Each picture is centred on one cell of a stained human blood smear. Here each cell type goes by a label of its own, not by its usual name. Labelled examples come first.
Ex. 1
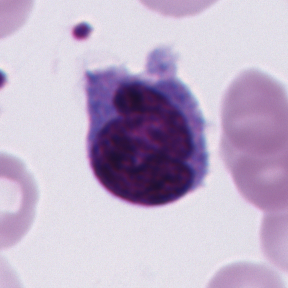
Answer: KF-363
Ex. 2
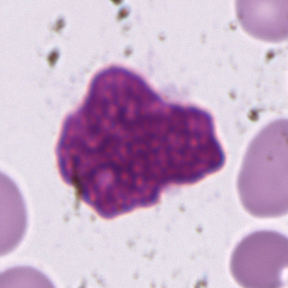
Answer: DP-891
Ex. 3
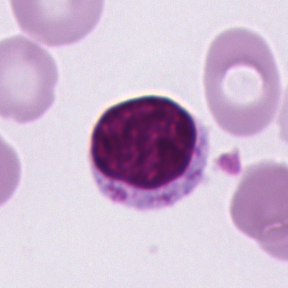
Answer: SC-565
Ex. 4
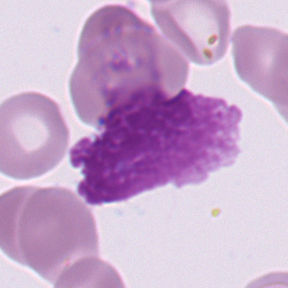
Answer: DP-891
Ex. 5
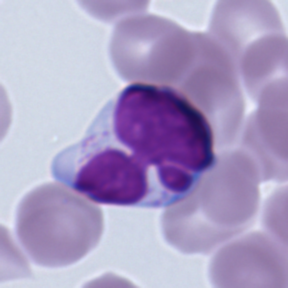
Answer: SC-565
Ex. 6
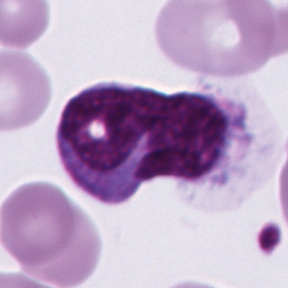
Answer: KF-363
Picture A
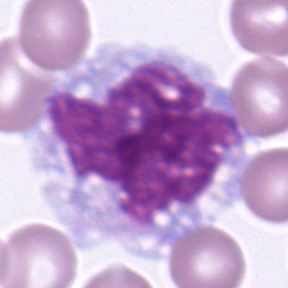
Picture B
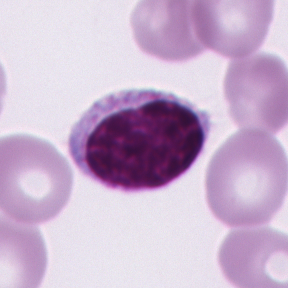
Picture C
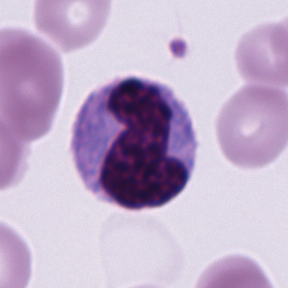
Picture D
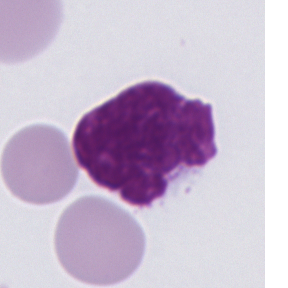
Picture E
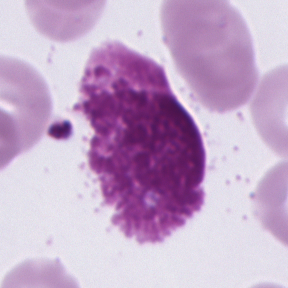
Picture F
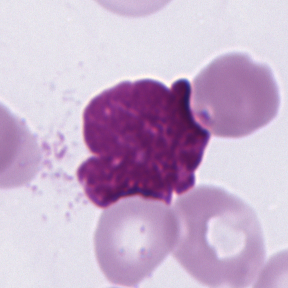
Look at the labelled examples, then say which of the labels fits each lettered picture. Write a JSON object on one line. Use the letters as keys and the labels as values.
{"A": "KF-363", "B": "SC-565", "C": "KF-363", "D": "DP-891", "E": "DP-891", "F": "DP-891"}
